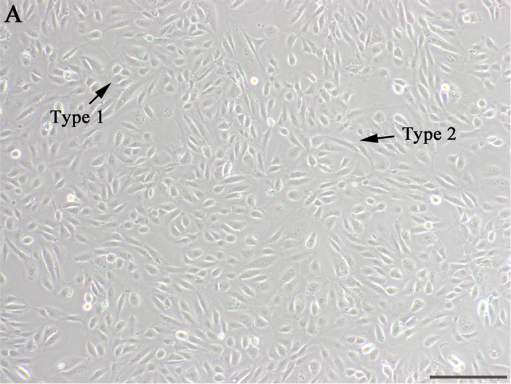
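A dense, nearly confluent monolayer of flat cells covers the whole field. Some cells are polygonal and compact, while others are elongated and spindle-shaped, often lying parallel in small streams.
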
